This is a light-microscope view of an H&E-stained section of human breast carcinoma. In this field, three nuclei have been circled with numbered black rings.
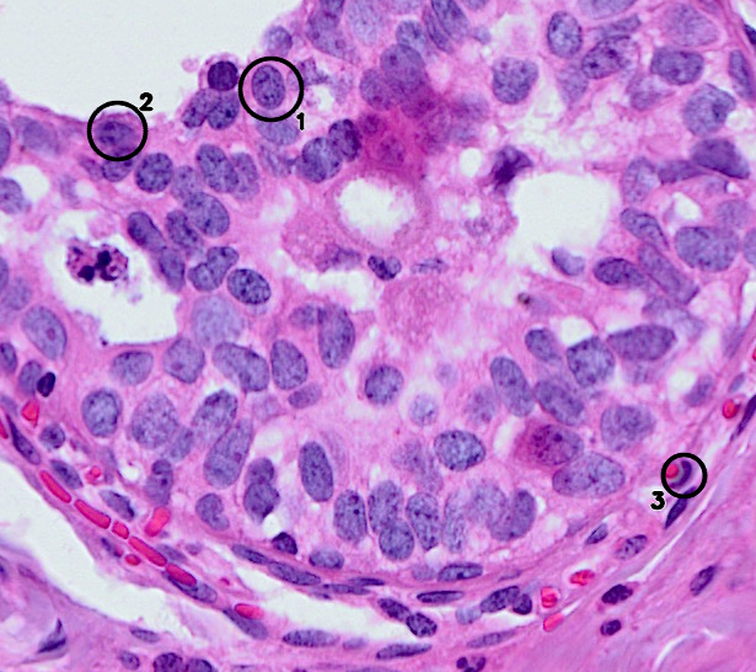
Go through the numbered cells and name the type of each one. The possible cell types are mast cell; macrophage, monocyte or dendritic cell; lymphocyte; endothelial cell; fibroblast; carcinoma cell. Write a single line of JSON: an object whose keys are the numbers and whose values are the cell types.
{"1": "carcinoma cell", "2": "carcinoma cell", "3": "endothelial cell"}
